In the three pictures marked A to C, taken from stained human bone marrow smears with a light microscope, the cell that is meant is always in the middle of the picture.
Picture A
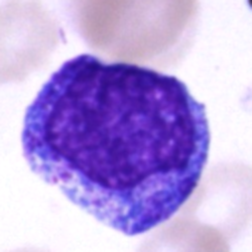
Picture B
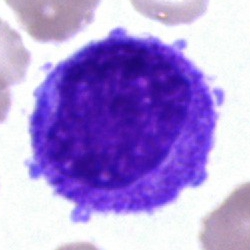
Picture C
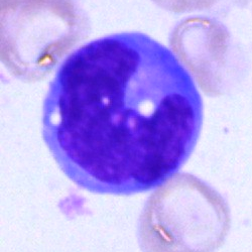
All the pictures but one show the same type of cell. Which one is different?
C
